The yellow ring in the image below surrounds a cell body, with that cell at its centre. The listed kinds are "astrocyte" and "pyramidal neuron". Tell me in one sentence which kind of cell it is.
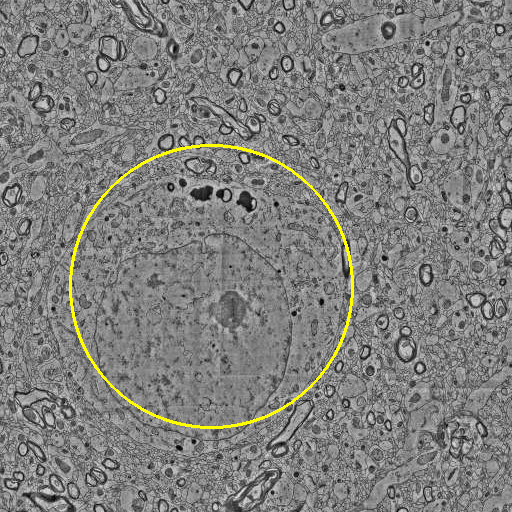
The centre of the ring holds a pyramidal neuron.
